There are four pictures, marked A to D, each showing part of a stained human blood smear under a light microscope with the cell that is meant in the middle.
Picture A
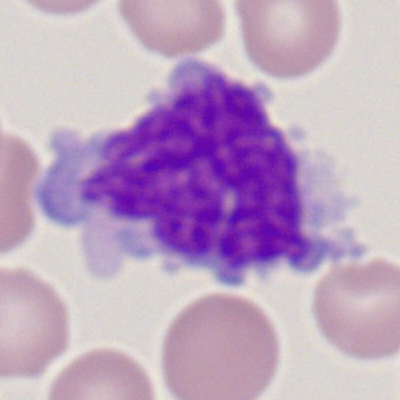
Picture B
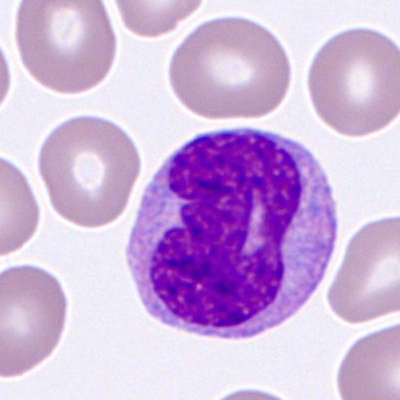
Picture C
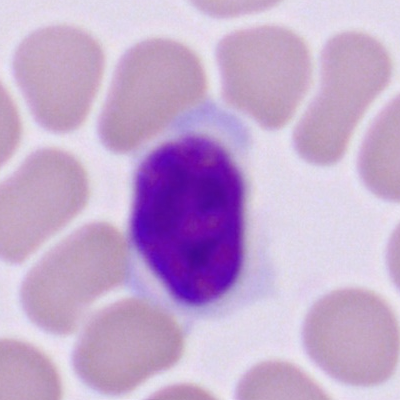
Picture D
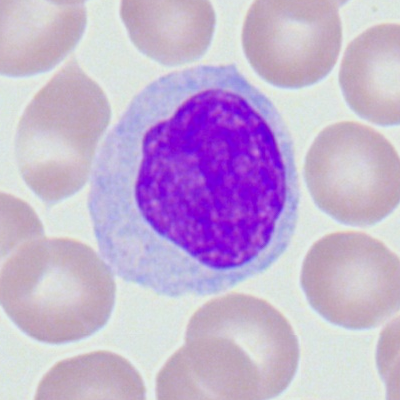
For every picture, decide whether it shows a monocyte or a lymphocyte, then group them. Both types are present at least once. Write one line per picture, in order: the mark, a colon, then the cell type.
A: monocyte
B: monocyte
C: lymphocyte
D: monocyte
